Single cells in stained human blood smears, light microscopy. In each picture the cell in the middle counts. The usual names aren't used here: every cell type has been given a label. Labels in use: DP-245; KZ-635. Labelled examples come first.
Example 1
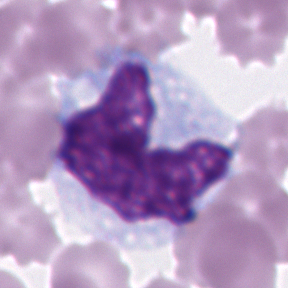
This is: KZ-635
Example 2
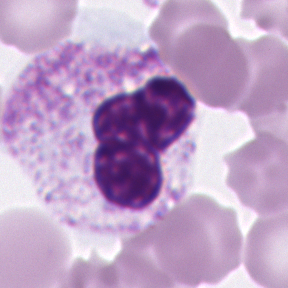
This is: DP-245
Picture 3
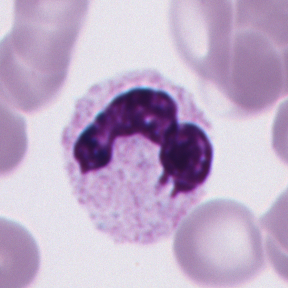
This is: DP-245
